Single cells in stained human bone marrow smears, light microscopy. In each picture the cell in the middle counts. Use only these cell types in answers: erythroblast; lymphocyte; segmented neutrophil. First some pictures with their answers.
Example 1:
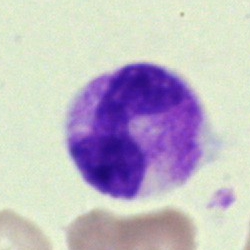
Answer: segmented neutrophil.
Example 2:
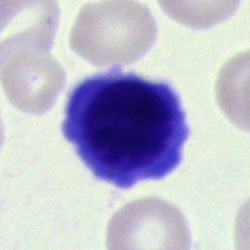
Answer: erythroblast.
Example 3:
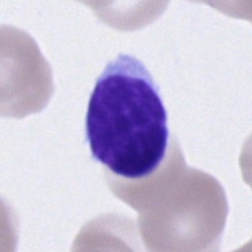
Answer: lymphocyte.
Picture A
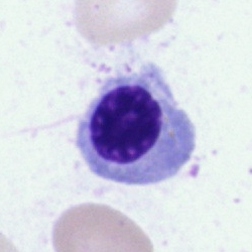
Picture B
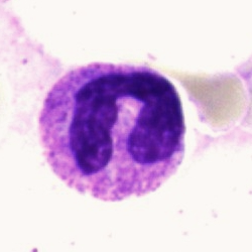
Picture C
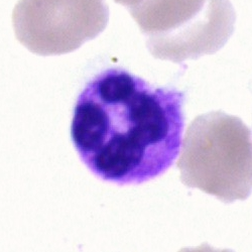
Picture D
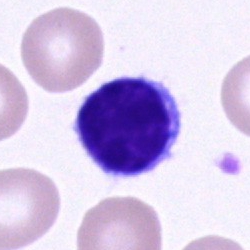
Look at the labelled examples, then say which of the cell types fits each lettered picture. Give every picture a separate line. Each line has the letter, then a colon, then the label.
A: erythroblast.
B: segmented neutrophil.
C: segmented neutrophil.
D: lymphocyte.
